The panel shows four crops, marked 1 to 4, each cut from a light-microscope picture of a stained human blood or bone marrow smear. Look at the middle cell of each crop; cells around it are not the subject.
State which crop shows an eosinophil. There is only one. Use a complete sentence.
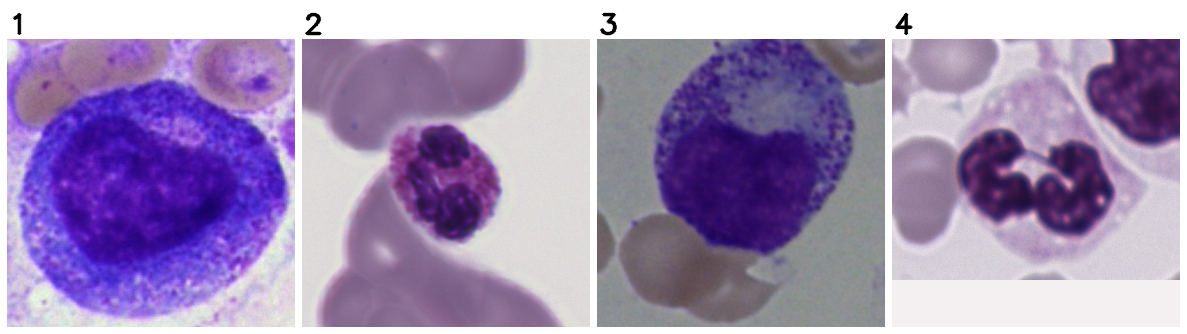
The crop bearing an eosinophil is crop 2.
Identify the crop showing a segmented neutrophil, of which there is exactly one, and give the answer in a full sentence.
Among the crops provided, a segmented neutrophil occupies the center of crop 4.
